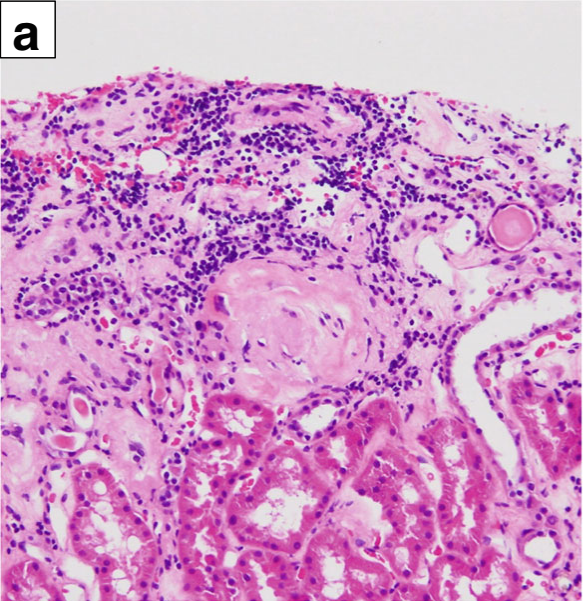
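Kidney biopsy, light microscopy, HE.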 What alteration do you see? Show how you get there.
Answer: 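Infiltration of lymphocytes into the interstitium. Crowded small dark round nuclei spread through the tissue between tubules.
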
